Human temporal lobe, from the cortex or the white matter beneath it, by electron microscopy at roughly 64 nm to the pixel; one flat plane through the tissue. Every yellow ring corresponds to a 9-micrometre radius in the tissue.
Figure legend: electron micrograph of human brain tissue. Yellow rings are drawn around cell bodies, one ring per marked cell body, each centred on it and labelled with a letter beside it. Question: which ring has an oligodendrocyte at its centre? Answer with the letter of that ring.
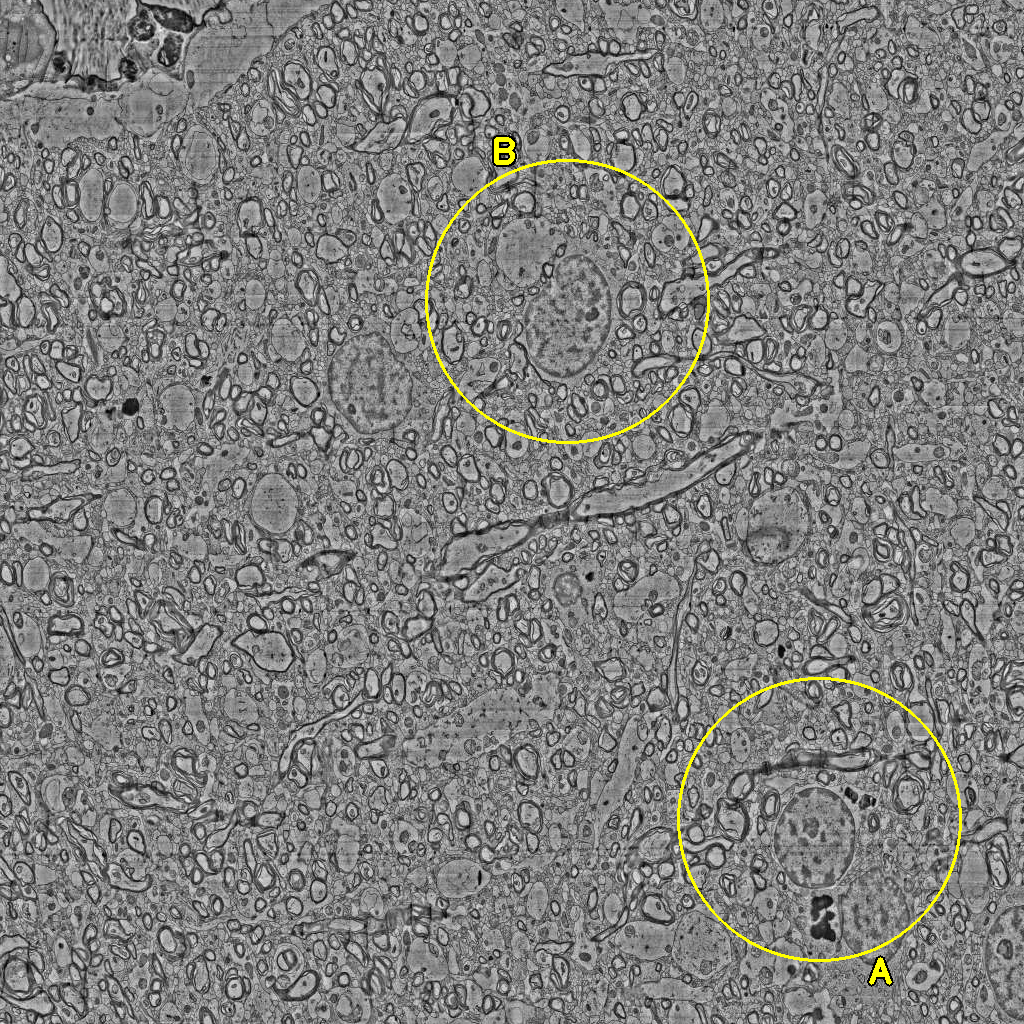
B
